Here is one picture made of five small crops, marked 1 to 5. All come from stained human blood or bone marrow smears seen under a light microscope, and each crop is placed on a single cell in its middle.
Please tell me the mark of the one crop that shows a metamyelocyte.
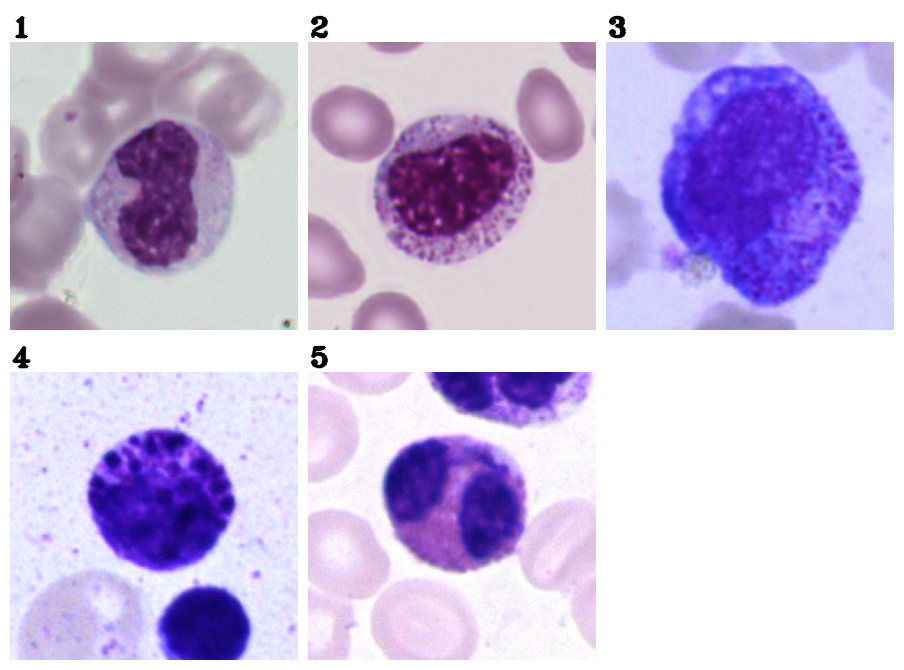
2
